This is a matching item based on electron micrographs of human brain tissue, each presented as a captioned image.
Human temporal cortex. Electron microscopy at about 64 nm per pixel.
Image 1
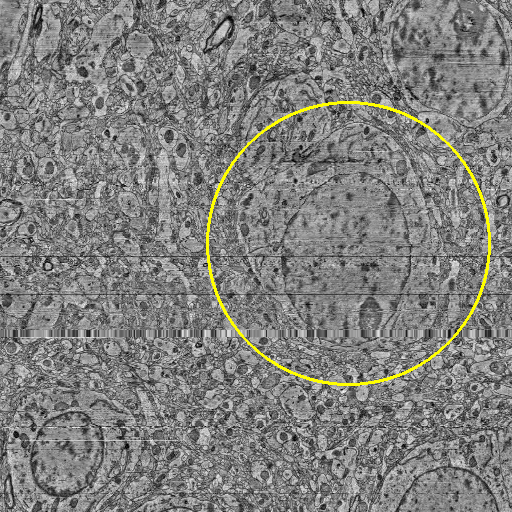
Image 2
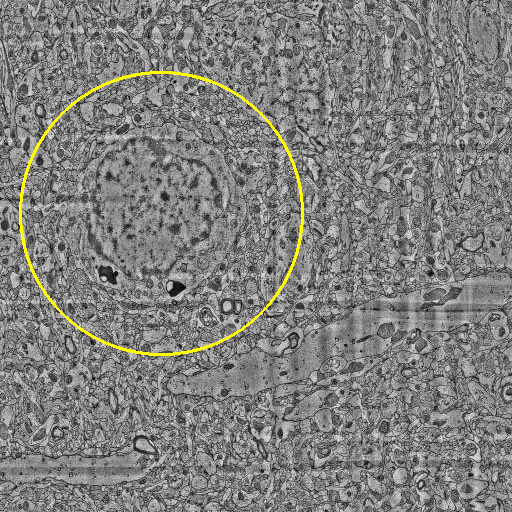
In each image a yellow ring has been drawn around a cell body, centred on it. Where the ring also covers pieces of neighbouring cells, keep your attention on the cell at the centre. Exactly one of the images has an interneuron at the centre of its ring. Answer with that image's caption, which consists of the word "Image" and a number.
Image 2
